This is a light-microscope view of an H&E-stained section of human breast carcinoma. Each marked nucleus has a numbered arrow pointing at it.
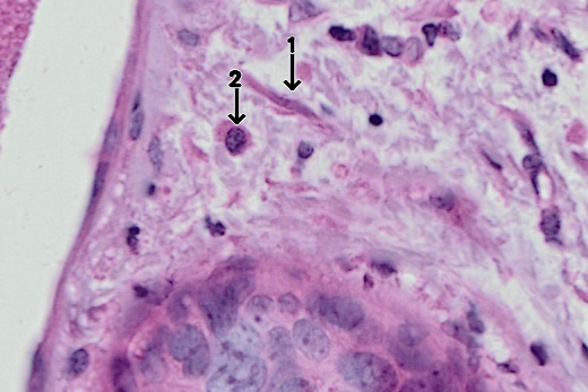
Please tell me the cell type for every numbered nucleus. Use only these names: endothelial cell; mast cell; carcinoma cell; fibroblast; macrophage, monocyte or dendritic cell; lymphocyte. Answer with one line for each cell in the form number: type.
1: fibroblast
2: mast cell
